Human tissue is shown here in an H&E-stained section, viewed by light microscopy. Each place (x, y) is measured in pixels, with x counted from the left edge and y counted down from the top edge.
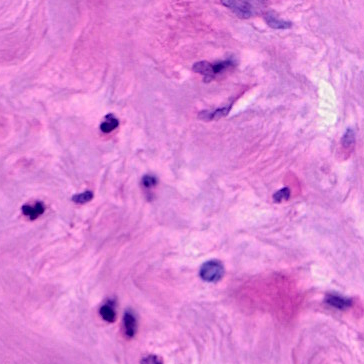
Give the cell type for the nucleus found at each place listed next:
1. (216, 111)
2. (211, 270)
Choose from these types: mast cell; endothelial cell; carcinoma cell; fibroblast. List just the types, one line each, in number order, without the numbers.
fibroblast
mast cell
